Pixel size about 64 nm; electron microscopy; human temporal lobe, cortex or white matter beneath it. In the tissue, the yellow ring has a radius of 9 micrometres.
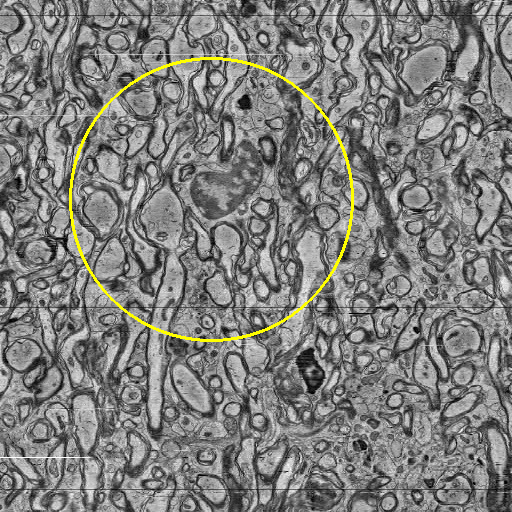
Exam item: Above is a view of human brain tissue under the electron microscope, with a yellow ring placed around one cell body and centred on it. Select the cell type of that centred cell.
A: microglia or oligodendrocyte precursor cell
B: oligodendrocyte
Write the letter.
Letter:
A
